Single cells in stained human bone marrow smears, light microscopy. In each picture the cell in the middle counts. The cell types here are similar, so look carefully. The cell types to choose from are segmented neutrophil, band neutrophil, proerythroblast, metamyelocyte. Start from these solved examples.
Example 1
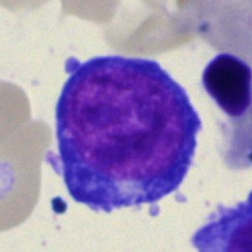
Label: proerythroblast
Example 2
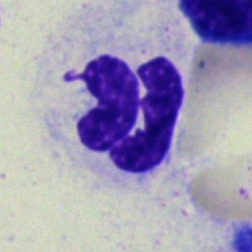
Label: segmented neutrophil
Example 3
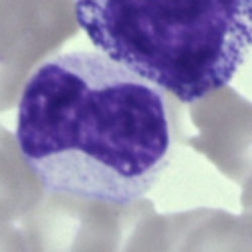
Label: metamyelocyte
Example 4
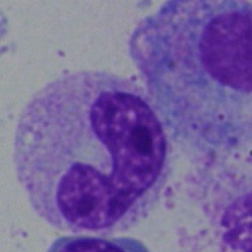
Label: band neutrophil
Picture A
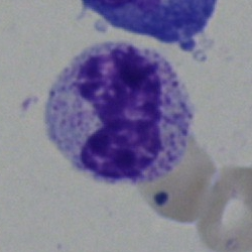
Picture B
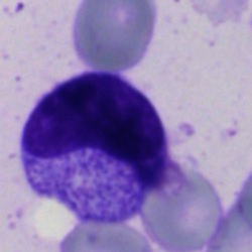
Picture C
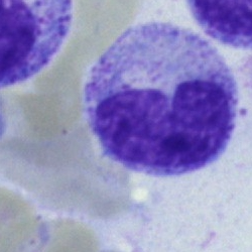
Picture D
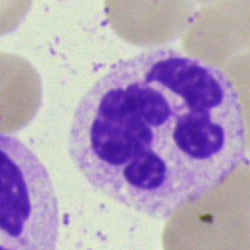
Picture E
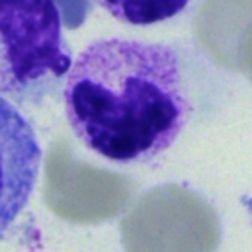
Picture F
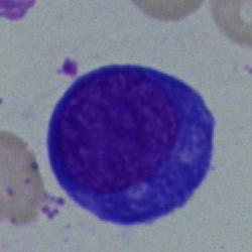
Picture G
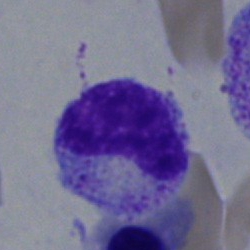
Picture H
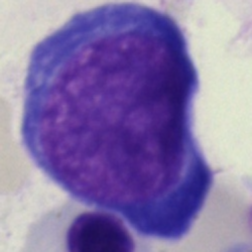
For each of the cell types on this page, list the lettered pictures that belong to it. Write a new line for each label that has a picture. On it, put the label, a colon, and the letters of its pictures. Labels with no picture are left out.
segmented neutrophil: D
band neutrophil: E
proerythroblast: F, H
metamyelocyte: A, B, C, G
